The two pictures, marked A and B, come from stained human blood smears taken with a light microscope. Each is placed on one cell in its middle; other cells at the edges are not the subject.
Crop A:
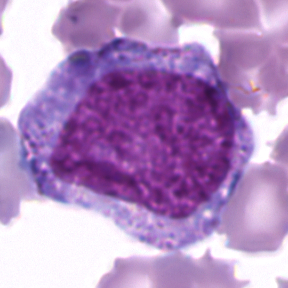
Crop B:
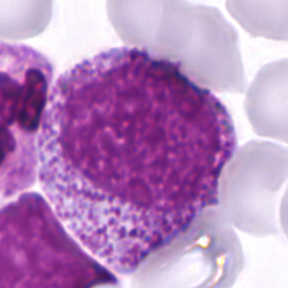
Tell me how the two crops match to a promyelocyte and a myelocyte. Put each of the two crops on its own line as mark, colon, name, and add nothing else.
A: promyelocyte
B: myelocyte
